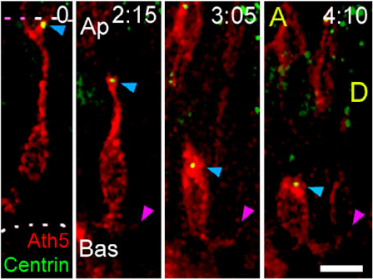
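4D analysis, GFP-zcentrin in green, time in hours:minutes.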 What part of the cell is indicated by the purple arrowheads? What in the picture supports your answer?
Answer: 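A thin red process extends from the basal side of the red cell body. The purple arrowheads point at this thin process in the later frames. So: axon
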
